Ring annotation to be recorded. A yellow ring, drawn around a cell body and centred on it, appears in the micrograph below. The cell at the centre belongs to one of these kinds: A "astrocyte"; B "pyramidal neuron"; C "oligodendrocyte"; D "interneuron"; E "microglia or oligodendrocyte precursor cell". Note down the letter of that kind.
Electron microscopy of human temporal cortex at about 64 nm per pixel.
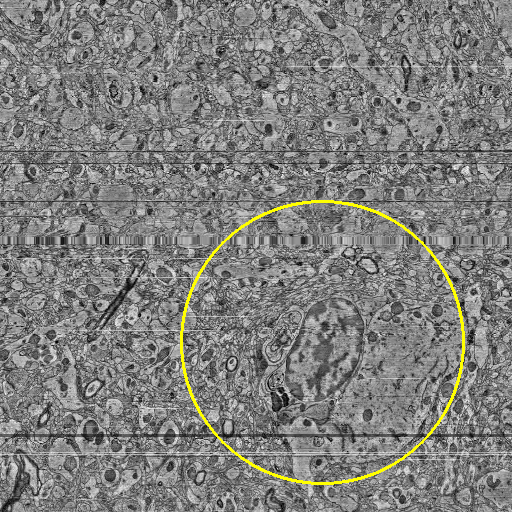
E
